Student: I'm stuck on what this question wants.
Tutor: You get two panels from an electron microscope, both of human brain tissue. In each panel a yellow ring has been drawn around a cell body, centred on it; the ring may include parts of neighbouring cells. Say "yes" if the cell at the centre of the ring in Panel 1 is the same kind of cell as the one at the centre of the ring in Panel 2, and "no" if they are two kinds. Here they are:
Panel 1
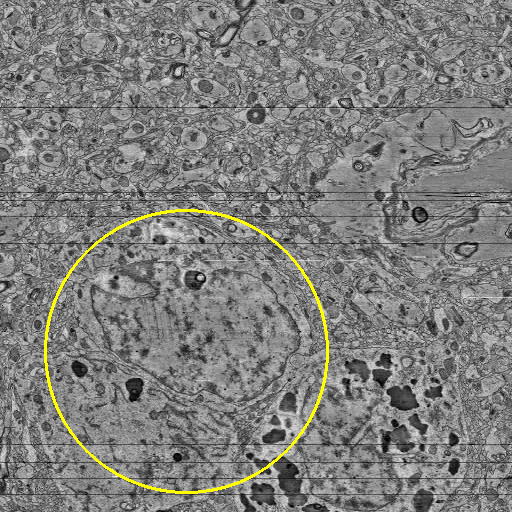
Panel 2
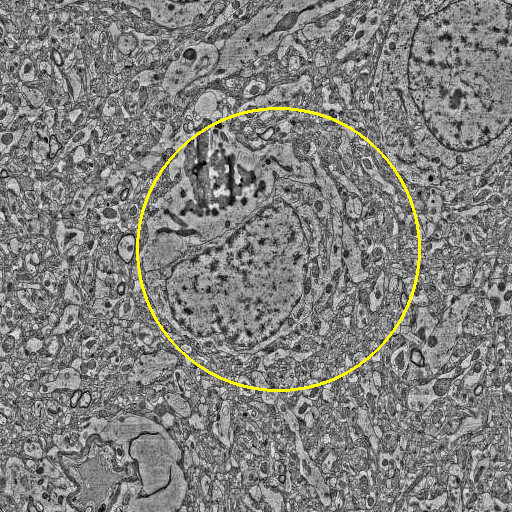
yes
